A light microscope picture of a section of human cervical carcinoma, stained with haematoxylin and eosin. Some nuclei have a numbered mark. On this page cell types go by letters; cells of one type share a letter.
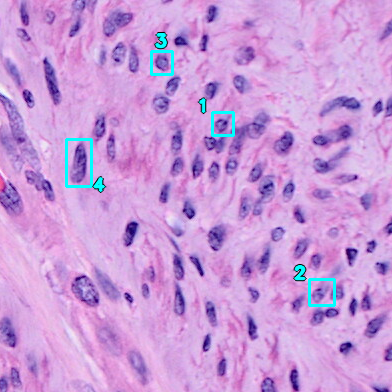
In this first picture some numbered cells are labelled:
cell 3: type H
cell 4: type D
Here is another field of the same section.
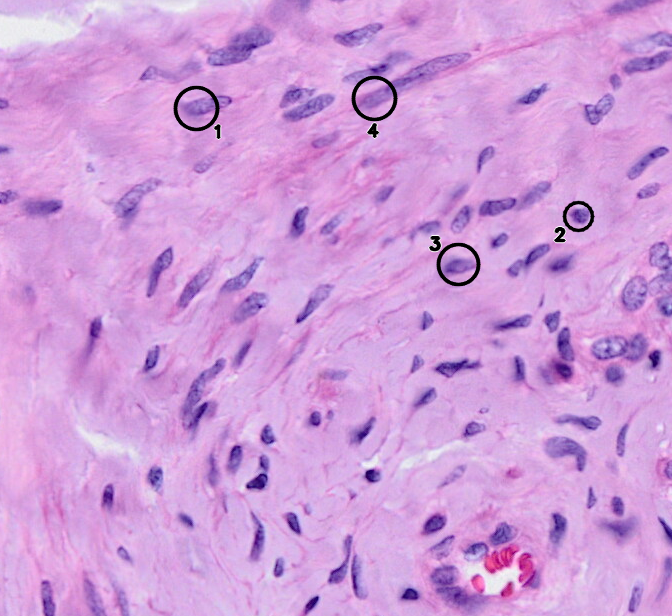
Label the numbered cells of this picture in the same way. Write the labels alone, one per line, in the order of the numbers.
type D
type D
type D
type H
